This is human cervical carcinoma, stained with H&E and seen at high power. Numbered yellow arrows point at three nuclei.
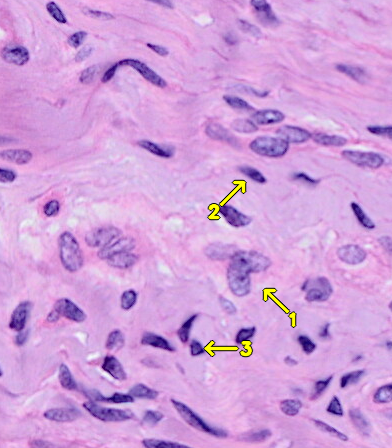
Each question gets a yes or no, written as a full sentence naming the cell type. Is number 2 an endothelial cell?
No, cell 2 is not an endothelial cell; it is a fibroblast.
